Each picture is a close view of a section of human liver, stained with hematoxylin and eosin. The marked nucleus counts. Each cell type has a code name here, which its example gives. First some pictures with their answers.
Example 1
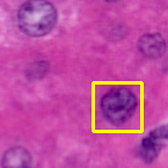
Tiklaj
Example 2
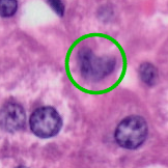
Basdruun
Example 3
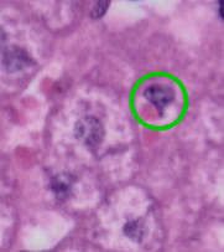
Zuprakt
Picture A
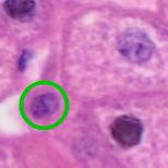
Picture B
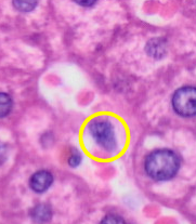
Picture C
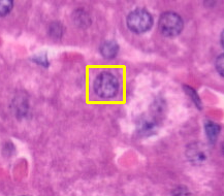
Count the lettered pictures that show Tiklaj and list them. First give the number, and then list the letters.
1, namely C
